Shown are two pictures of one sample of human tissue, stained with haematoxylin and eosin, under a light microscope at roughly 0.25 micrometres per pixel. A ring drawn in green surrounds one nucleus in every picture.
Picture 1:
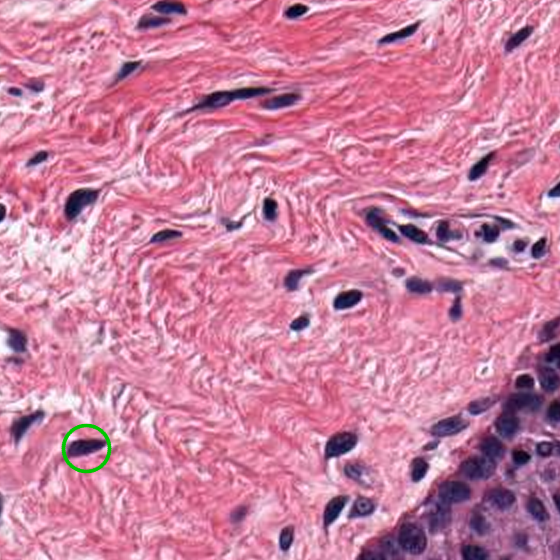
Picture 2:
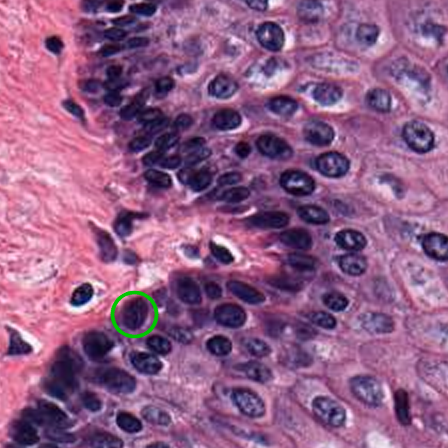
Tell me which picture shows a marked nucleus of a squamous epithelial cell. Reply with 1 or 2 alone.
2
